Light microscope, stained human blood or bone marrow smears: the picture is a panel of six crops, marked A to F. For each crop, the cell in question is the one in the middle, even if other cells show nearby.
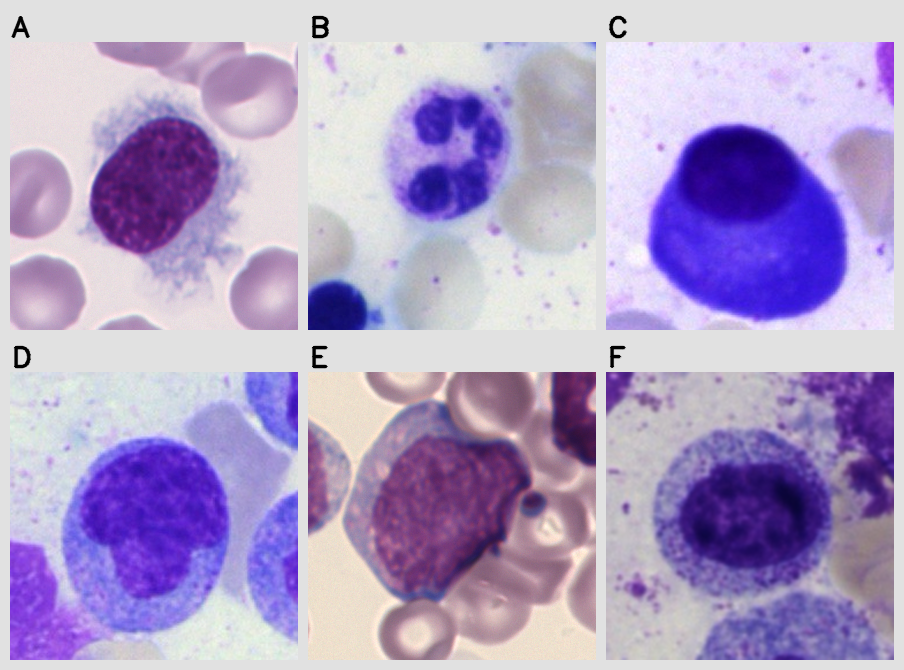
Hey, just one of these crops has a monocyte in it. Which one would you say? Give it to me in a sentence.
Here the crop that shows a monocyte is crop D.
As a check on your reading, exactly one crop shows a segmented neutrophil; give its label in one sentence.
Of these crops, it is crop B that shows a segmented neutrophil.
